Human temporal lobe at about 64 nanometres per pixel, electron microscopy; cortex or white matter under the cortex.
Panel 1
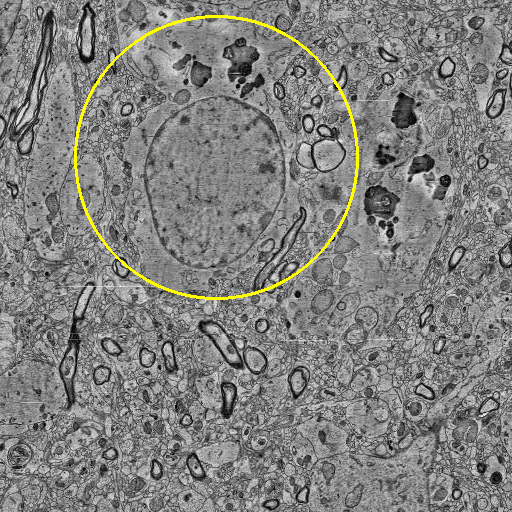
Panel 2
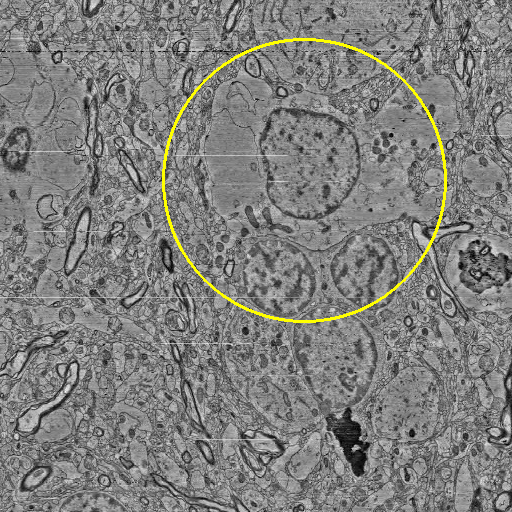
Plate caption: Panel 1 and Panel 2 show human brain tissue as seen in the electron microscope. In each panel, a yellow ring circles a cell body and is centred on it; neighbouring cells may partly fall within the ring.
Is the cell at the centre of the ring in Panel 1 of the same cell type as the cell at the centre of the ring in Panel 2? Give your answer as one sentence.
Yes, the two cells are of the same type.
